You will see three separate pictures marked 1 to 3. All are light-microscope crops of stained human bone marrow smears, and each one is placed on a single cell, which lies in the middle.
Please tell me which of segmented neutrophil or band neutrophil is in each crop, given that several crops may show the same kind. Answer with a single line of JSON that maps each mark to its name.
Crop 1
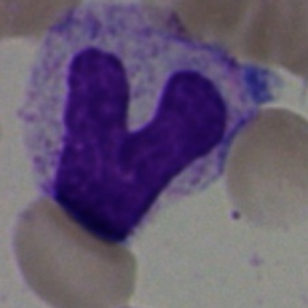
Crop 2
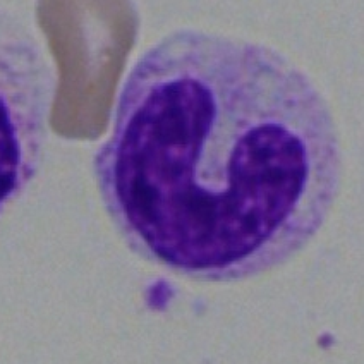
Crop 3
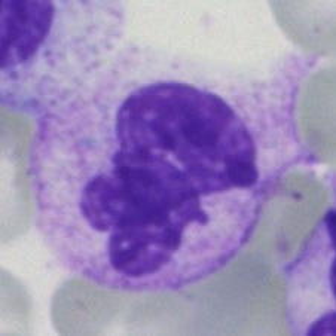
{"1": "band neutrophil", "2": "band neutrophil", "3": "segmented neutrophil"}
